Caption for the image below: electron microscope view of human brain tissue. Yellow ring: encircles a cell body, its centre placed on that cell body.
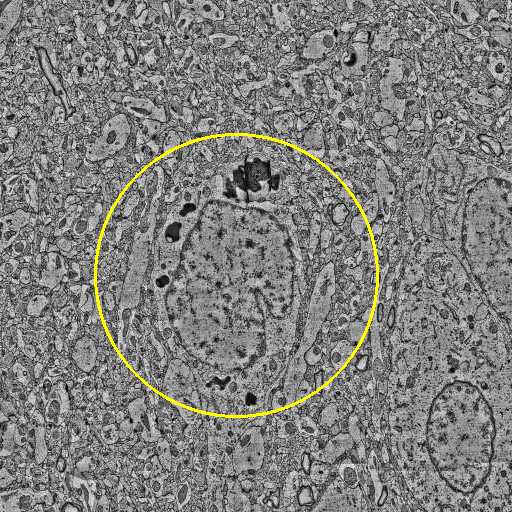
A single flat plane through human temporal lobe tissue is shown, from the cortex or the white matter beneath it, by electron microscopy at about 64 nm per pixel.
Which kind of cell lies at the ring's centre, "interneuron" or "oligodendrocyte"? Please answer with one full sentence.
The picture shows an interneuron at the centre of the yellow ring.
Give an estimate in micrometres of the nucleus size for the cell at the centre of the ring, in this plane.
About 11 micrometres by about 8 micrometres in this plane.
